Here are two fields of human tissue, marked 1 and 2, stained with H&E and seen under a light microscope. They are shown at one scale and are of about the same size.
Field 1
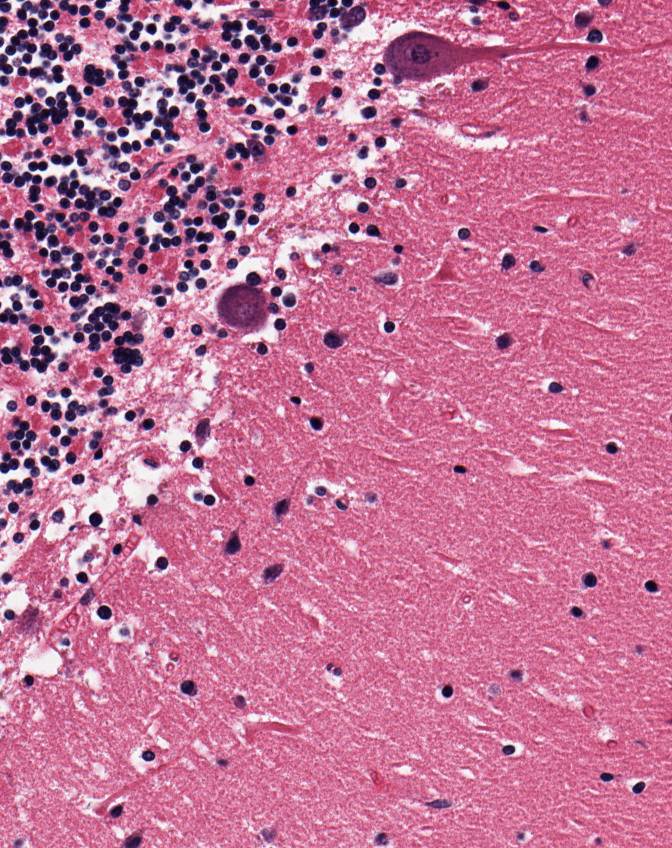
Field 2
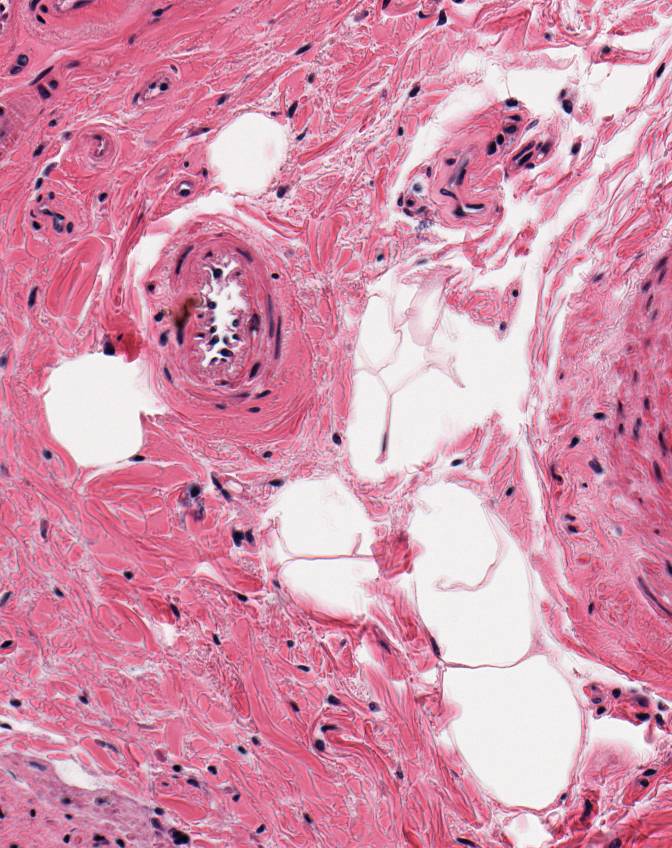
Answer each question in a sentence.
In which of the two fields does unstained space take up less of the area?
Unstained space takes up less of field 1 than of field 2.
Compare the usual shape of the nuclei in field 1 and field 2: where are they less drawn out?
Rounder nuclei lie in field 1.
